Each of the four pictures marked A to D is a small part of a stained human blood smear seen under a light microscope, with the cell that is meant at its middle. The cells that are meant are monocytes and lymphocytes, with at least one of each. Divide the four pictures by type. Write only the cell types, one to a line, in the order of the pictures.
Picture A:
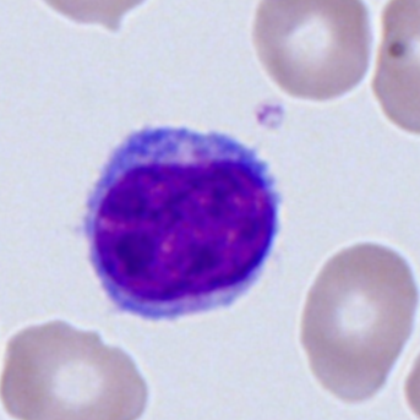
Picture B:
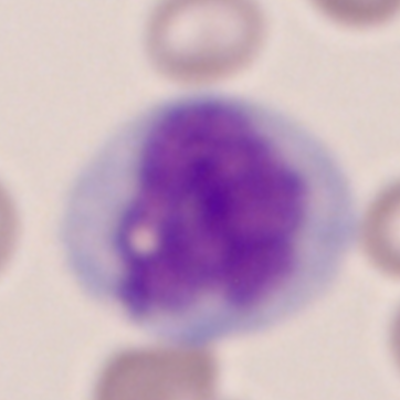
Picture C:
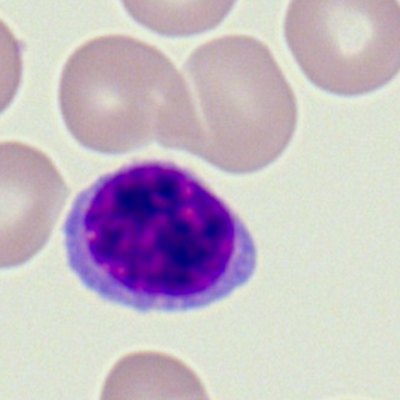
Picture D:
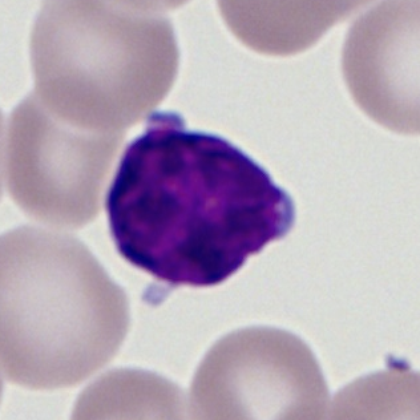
lymphocyte
monocyte
lymphocyte
lymphocyte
